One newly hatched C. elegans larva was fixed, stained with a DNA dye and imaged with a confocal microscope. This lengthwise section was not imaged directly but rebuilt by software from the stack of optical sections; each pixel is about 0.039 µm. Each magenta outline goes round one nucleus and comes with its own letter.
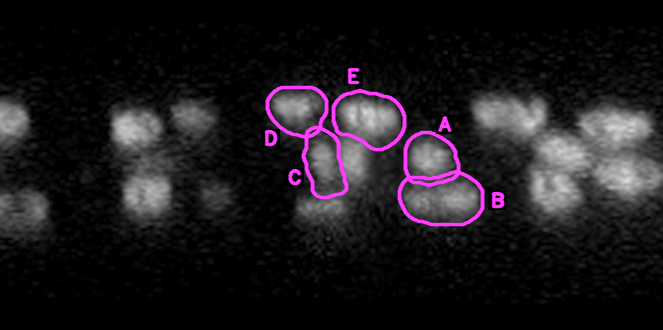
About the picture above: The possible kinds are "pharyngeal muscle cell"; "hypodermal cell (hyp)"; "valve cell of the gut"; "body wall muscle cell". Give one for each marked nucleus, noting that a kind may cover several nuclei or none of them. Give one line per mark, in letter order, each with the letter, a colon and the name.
A: pharyngeal muscle cell
B: body wall muscle cell
C: valve cell of the gut
D: hypodermal cell (hyp)
E: body wall muscle cell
